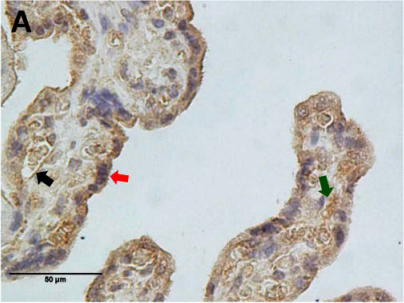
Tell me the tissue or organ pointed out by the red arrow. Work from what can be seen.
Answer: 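Syncytiotrophoblast. The arrow points at the outer lining layer covering the villus. The lining is a continuous layer without visible cell borders between nuclei.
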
